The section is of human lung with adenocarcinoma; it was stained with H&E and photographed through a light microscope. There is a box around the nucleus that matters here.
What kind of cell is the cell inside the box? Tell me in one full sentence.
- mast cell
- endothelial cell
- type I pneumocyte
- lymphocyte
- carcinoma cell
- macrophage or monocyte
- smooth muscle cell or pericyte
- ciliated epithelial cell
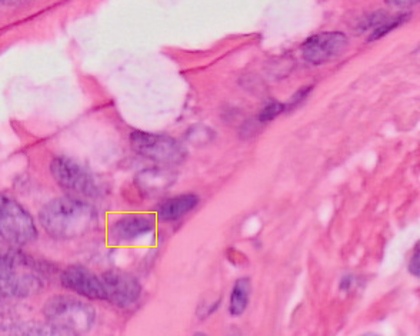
Cytologically, the cell inside the box is to be regarded as a ciliated epithelial cell.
